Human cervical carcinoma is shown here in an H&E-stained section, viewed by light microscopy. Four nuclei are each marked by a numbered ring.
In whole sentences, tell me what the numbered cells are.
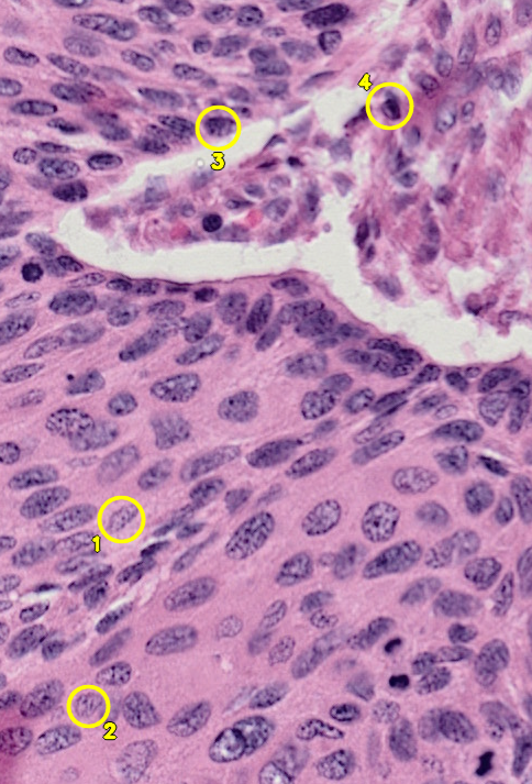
Cells 1, 2 and 3 are squamous carcinoma cells. Cell 4 is a lymphocyte.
